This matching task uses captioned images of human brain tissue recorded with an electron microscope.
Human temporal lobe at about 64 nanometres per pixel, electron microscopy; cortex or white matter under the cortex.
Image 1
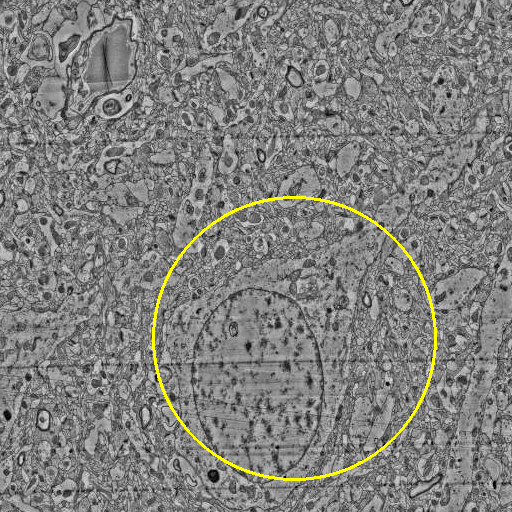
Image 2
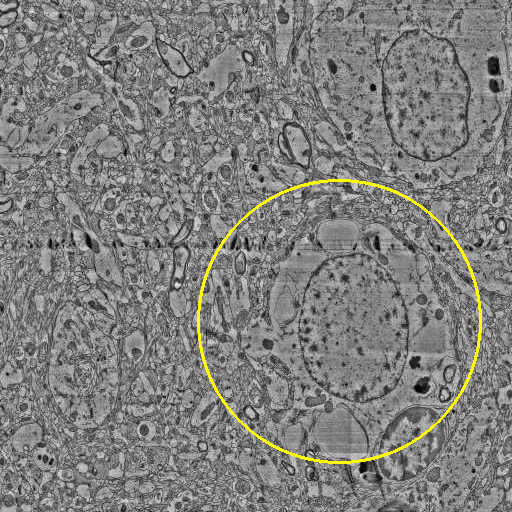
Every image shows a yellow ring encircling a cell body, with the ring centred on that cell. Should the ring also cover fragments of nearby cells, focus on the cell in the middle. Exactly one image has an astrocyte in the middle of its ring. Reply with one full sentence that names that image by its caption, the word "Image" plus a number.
Image 2 shows the cell in question at the centre of its yellow ring.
